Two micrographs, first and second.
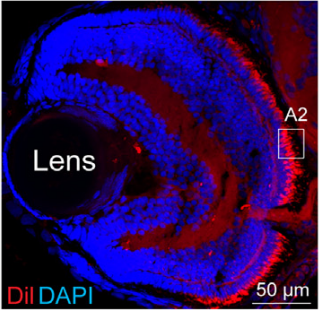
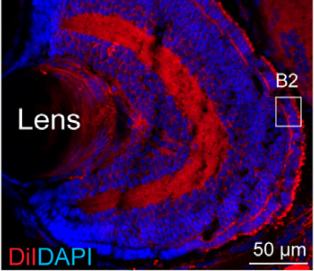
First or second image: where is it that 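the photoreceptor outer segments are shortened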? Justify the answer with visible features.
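Second image: the red signal at the outer rim of the retina is a thin line. First image: the red signal at the outer rim forms a thicker, more distinct band. So: the second image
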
